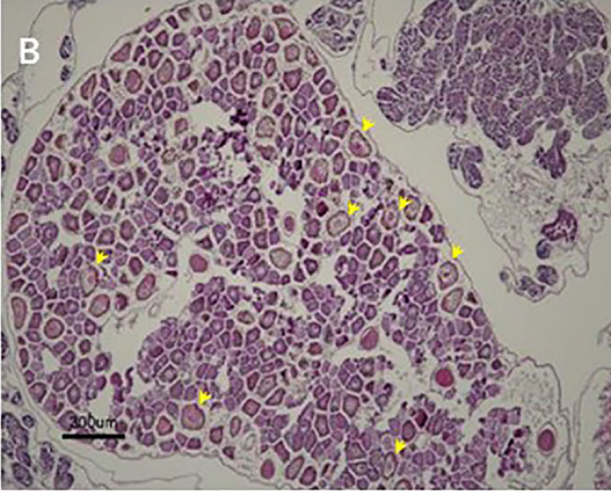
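Ovary section densely filled with small, closely packed polygonal oocytes whose cytoplasm stains purple, with narrow pale spaces between them and some open clefts inside the organ. A thin wall encloses the ovary; loose tissue and another densely purple cell mass lie outside it at upper right.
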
